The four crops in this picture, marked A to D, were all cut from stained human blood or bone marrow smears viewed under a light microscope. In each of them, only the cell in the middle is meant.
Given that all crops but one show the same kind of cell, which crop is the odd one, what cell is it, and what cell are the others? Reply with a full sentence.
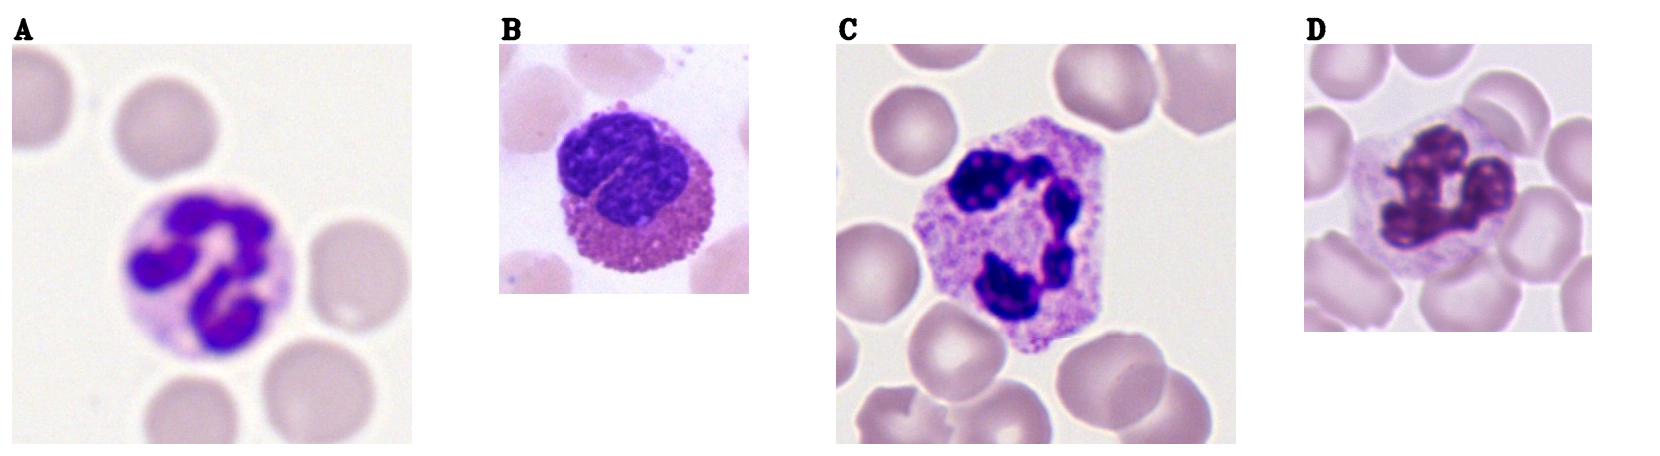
Crop B alone shows an eosinophil; the other crops are all neutrophils.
